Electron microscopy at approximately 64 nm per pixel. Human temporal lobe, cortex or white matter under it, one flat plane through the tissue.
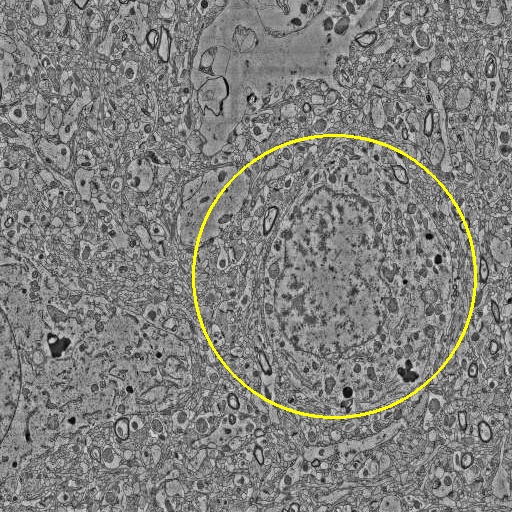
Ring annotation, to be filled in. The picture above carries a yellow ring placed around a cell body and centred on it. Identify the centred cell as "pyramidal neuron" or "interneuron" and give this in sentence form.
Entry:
The cell in the middle of the ring is an interneuron.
